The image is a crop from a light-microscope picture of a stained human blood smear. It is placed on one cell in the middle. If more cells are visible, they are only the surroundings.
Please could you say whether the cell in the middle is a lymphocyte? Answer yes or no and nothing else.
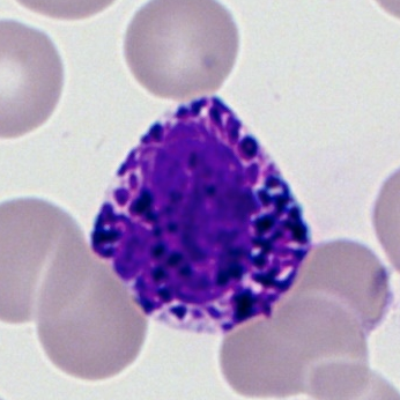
no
